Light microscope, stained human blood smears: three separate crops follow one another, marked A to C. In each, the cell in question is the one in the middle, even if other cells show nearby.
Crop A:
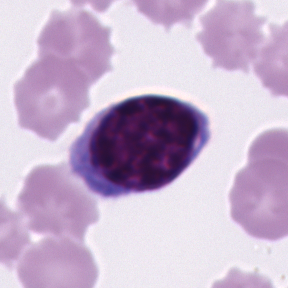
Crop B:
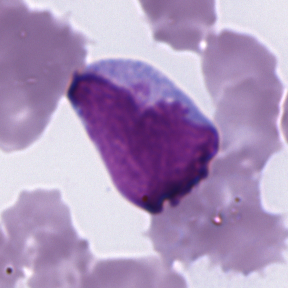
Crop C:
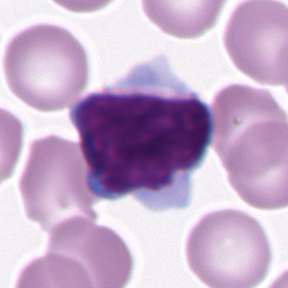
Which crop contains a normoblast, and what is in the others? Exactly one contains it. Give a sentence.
Centred in crop A is a normoblast, while crop B is a myeloblast and crop C is a typical lymphocyte.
